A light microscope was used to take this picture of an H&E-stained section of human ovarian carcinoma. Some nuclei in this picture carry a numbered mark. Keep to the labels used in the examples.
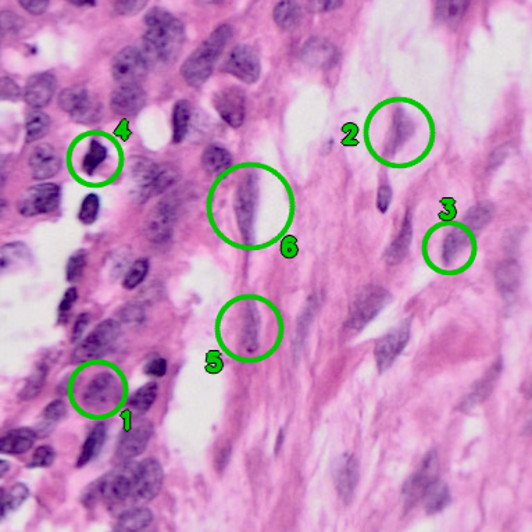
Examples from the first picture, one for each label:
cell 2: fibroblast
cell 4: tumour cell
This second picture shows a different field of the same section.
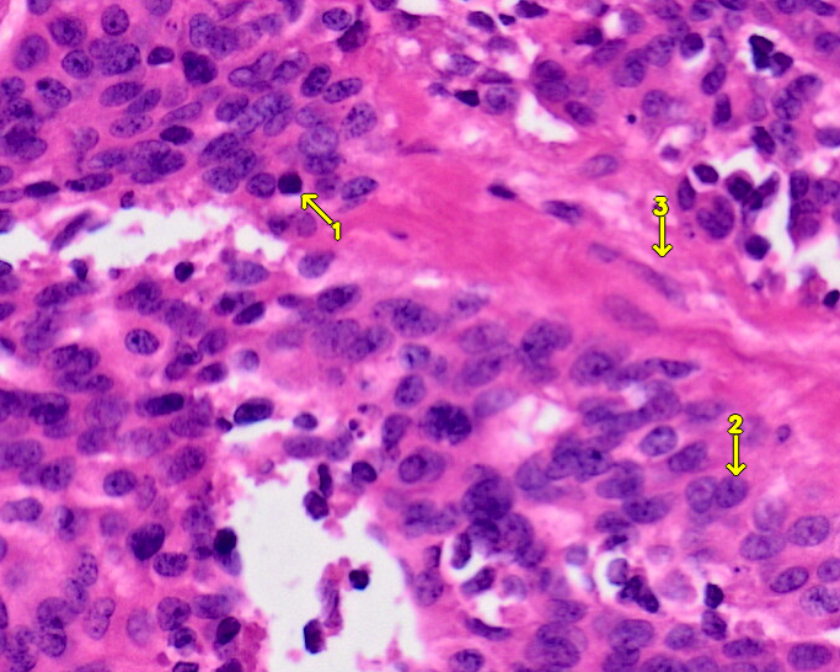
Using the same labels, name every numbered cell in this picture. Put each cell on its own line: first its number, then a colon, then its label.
1: tumour cell
2: tumour cell
3: fibroblast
